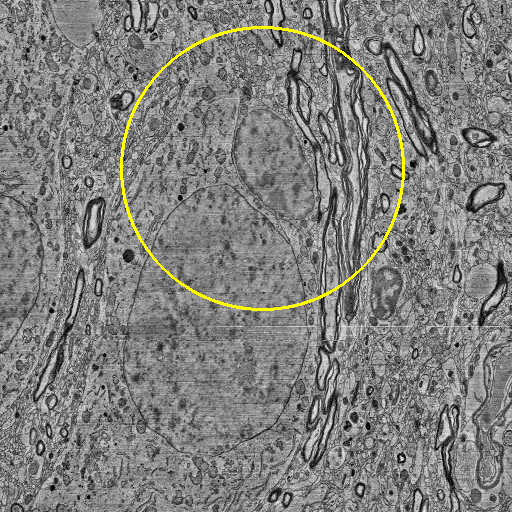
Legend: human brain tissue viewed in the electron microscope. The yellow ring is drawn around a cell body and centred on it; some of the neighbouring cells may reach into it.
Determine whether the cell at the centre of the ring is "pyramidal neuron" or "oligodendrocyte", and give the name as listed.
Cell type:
oligodendrocyte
